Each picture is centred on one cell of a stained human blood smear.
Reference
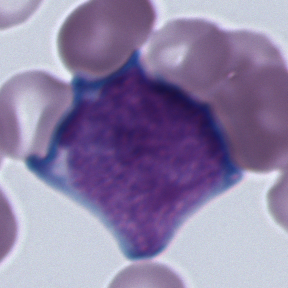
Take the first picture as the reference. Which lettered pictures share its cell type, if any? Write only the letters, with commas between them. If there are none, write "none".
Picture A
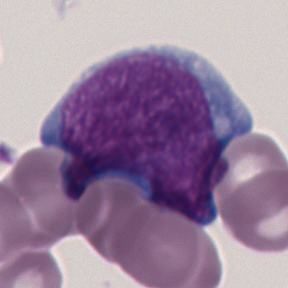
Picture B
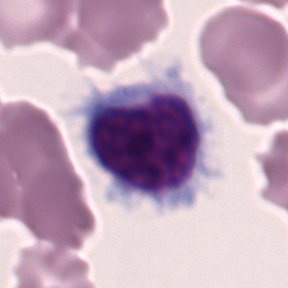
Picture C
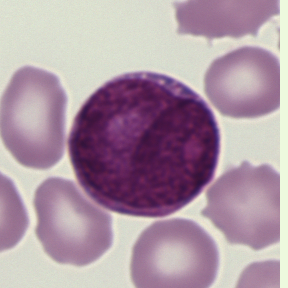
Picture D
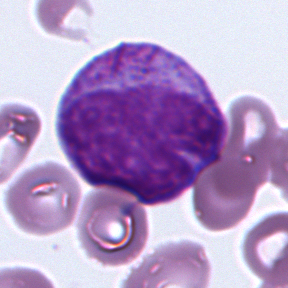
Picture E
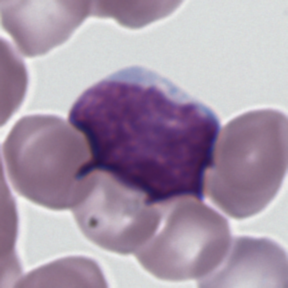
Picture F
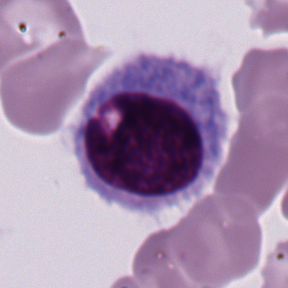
A, C, E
